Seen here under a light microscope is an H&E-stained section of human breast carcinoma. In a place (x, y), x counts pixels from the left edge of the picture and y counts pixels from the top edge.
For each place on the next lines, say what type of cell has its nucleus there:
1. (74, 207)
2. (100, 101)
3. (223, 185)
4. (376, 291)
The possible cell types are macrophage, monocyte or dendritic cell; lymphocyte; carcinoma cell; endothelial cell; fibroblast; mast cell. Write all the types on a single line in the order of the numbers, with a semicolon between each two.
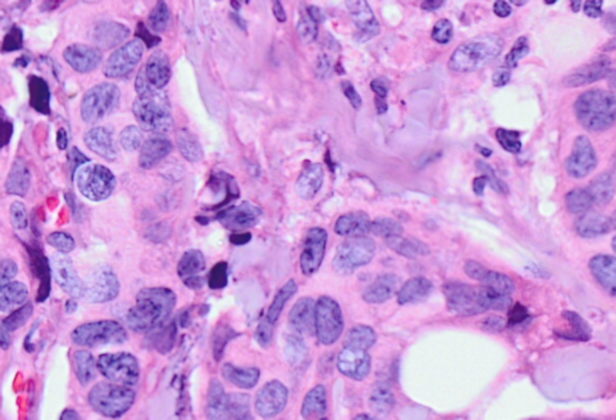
endothelial cell; carcinoma cell; carcinoma cell; carcinoma cell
